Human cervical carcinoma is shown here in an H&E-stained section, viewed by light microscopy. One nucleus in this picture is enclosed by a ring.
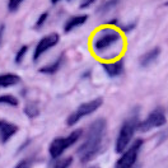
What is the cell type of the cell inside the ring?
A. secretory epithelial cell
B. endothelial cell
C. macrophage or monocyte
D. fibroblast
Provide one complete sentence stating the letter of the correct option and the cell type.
Option D is the correct one: the cell inside the ring is a fibroblast.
